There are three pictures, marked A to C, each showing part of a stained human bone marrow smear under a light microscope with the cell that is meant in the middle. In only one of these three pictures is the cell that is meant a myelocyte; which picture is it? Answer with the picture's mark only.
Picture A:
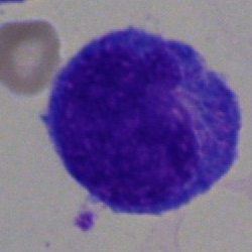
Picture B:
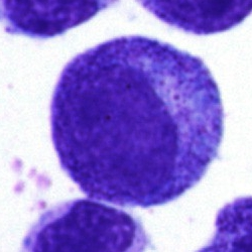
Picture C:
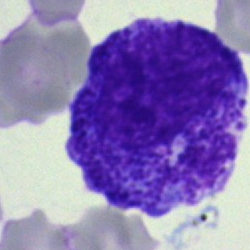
B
